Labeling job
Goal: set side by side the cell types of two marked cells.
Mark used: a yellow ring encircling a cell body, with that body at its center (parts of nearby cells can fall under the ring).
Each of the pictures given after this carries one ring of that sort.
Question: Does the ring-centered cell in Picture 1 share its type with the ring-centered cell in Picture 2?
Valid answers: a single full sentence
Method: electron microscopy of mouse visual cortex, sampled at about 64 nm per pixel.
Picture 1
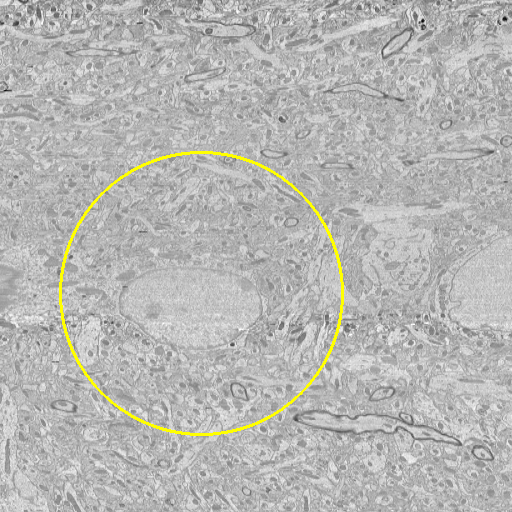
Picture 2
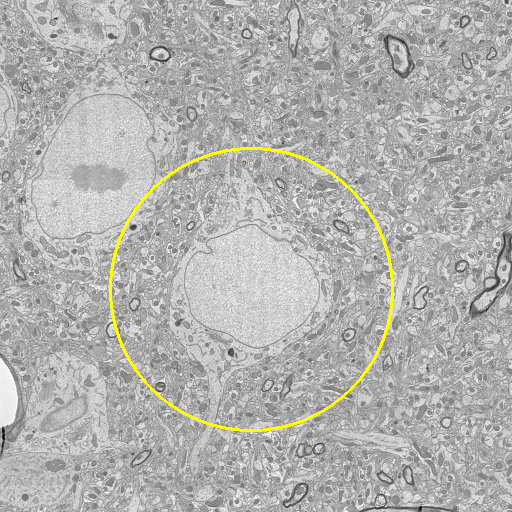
No, in Pictures 1 and 2 the cells at the ring centers have separate types.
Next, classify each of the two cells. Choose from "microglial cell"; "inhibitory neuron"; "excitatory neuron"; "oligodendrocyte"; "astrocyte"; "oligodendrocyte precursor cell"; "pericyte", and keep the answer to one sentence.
In the first picture it is an astrocyte; in the second it is an excitatory neuron.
